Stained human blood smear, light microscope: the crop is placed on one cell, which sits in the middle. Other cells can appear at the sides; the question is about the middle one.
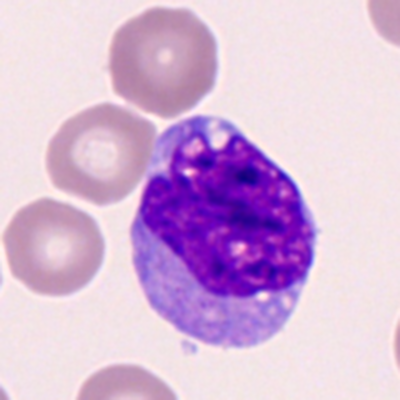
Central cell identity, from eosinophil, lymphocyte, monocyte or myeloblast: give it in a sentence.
In the center of this field lies a monocyte.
